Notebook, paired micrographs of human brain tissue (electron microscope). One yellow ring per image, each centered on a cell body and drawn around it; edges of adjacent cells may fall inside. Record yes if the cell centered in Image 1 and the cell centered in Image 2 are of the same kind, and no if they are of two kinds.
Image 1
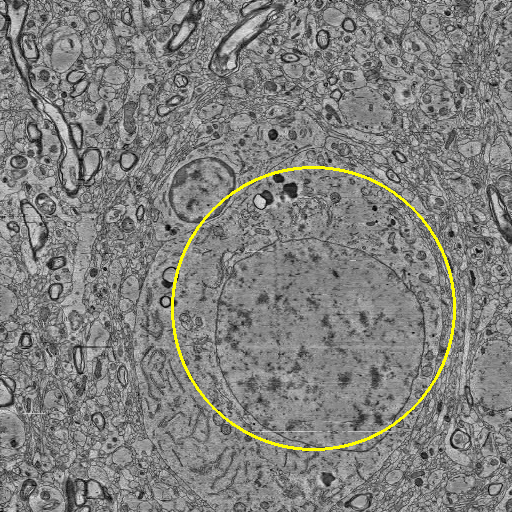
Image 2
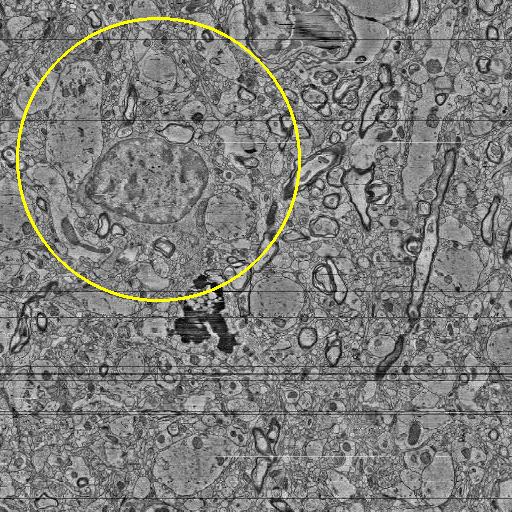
no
